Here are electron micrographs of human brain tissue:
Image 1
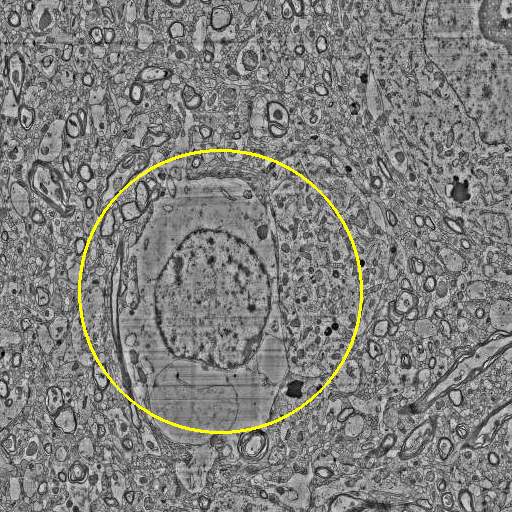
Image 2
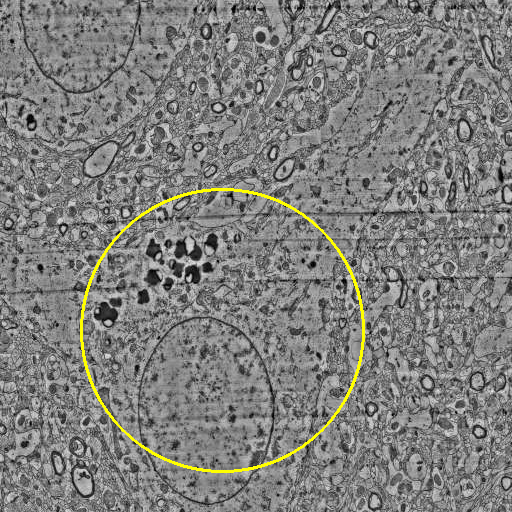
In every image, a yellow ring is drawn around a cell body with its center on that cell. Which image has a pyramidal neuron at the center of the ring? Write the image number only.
2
